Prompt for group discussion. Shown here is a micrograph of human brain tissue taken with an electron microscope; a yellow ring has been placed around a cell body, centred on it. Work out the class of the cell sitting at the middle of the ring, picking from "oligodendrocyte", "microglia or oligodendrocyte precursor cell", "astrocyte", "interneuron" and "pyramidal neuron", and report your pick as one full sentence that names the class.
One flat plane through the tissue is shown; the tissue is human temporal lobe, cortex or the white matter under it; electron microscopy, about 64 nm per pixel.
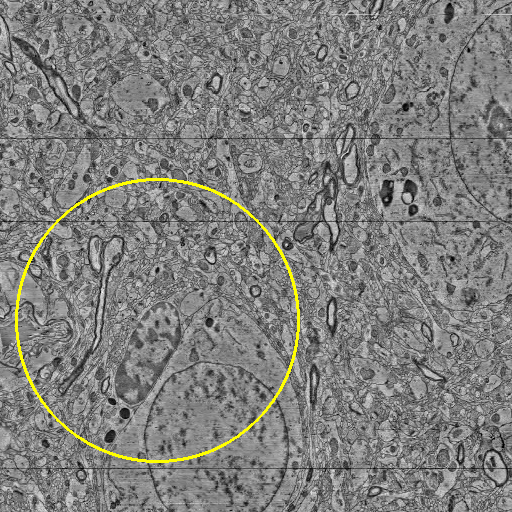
The cell sitting at the middle of the yellow ring is a microglial cell or oligodendrocyte precursor cell.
